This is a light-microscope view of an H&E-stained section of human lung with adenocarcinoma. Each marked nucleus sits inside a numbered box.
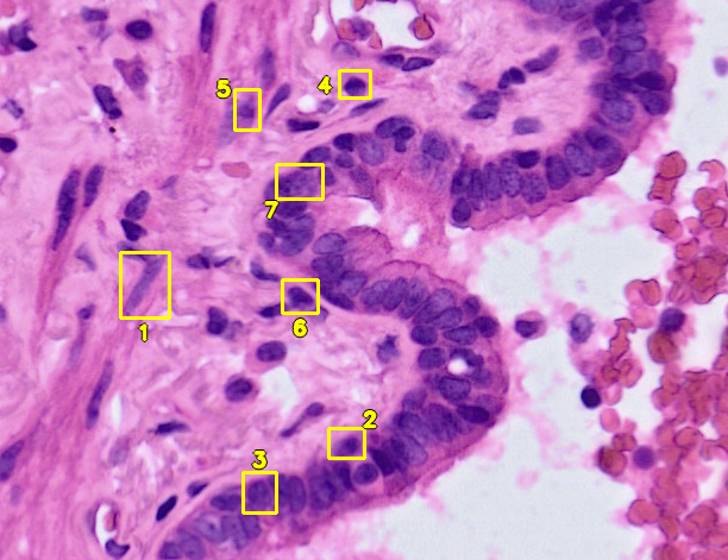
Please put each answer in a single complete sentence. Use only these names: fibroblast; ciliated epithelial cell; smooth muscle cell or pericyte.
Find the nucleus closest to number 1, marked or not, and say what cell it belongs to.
Closest to number 1 lies the nucleus of a fibroblast.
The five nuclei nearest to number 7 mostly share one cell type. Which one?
Of the five nuclei nearest to number 7, most belong to ciliated epithelial cells.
